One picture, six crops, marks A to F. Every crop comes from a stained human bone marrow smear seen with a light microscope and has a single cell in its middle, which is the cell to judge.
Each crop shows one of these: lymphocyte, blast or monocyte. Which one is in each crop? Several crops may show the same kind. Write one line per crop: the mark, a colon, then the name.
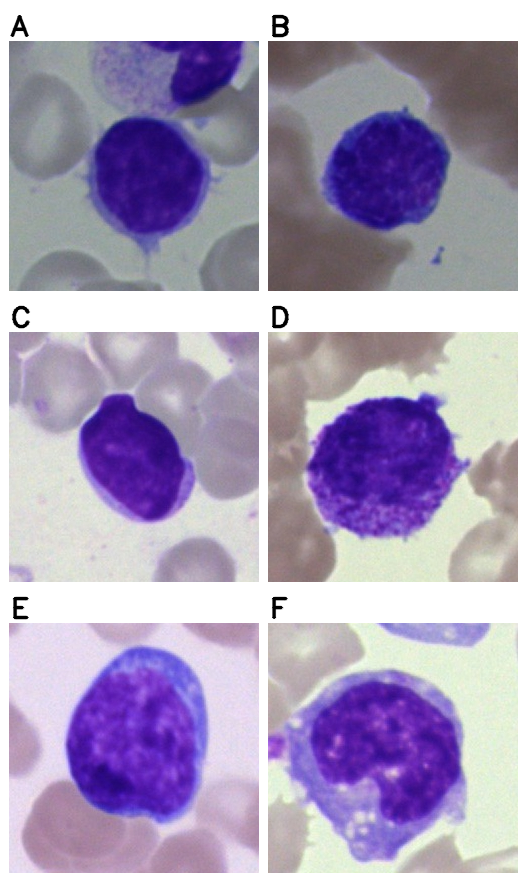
A: lymphocyte
B: blast
C: lymphocyte
D: blast
E: blast
F: monocyte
